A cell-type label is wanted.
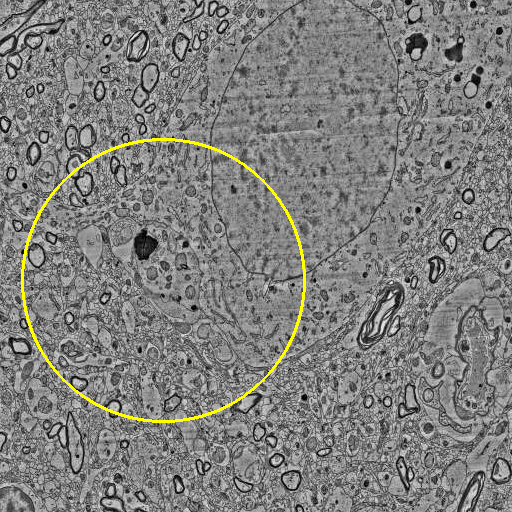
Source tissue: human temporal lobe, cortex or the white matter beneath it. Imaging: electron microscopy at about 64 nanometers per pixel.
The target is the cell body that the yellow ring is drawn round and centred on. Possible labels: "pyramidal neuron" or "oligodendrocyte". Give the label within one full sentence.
Of the labels offered, the cell in the middle of the yellow ring is an oligodendrocyte.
